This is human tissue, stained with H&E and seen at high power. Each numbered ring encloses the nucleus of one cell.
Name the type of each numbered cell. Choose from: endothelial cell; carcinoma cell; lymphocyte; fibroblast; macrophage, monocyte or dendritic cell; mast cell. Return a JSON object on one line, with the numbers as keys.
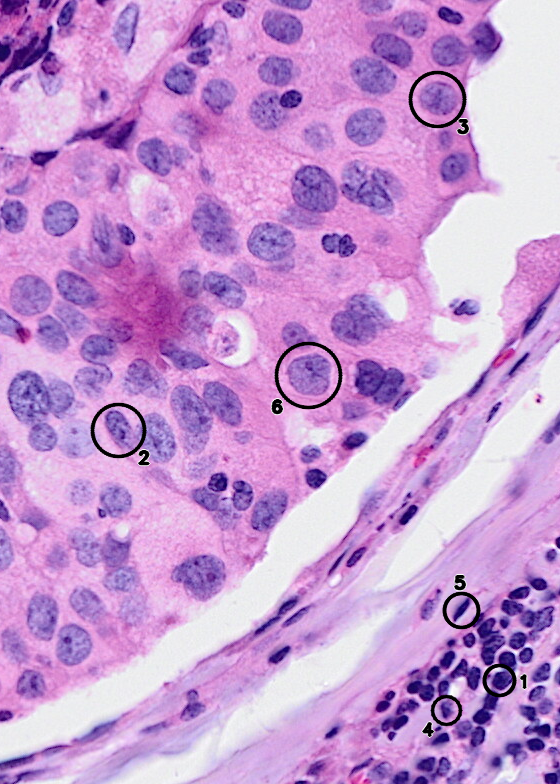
{"1": "lymphocyte", "2": "carcinoma cell", "3": "carcinoma cell", "4": "lymphocyte", "5": "lymphocyte", "6": "carcinoma cell"}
